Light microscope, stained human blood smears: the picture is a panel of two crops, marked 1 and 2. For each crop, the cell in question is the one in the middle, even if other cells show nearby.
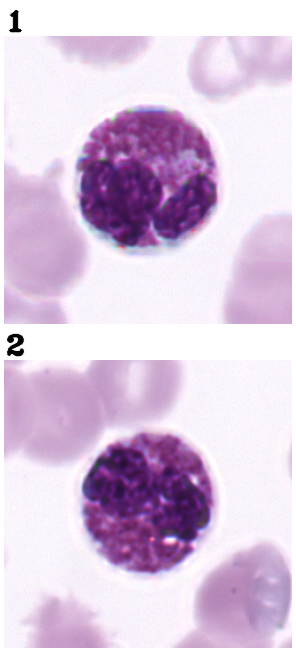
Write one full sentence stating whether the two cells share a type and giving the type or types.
Yes, eosinophils are centred in both crops.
